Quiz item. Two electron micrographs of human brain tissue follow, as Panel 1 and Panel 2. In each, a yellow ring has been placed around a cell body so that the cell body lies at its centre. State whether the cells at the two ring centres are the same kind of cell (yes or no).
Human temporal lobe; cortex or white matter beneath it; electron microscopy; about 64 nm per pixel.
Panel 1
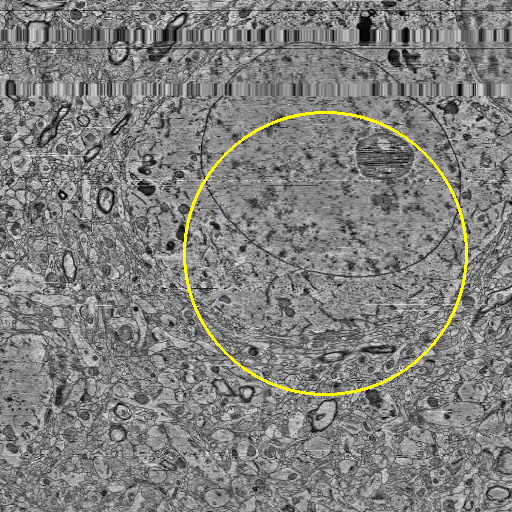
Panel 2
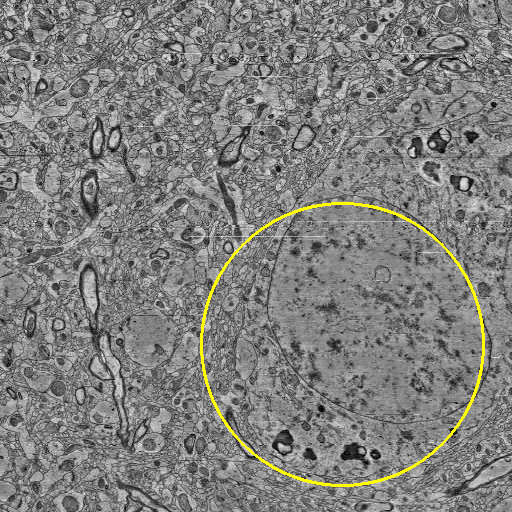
yes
